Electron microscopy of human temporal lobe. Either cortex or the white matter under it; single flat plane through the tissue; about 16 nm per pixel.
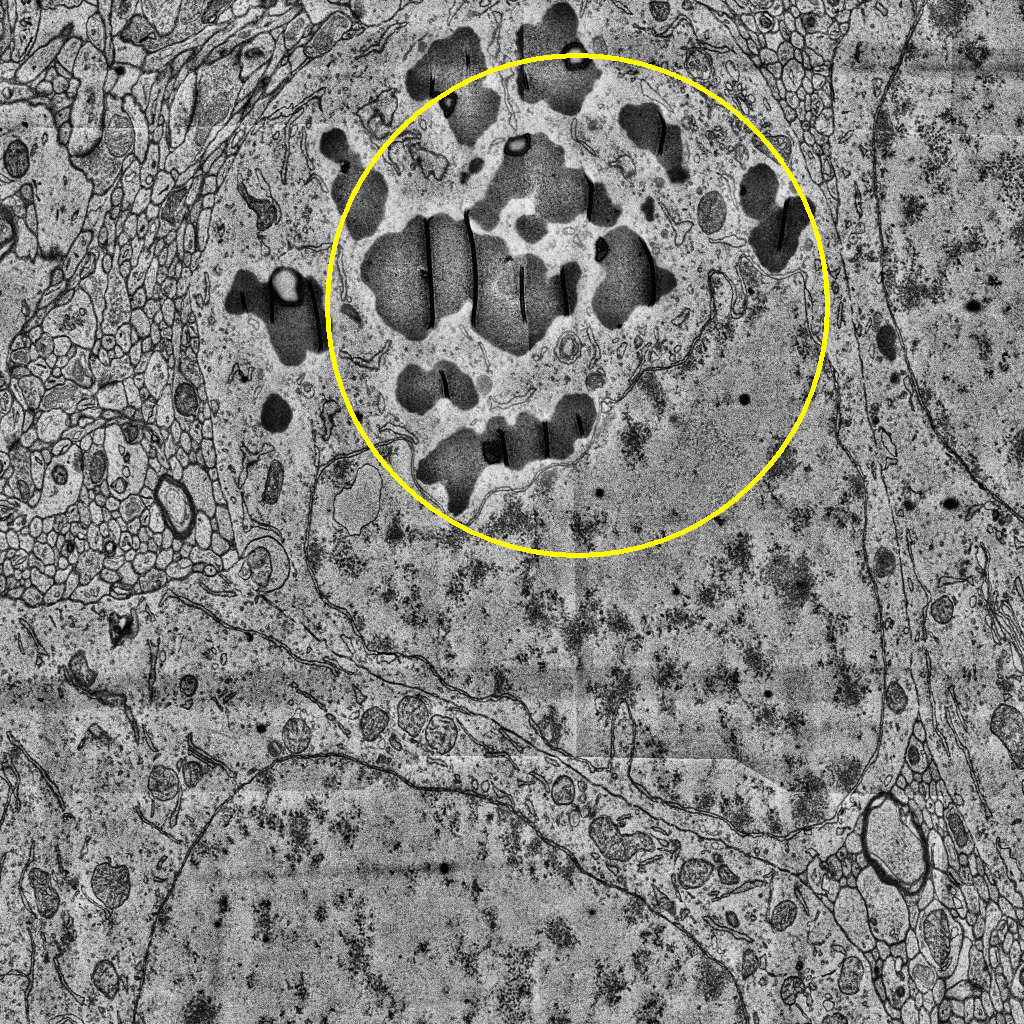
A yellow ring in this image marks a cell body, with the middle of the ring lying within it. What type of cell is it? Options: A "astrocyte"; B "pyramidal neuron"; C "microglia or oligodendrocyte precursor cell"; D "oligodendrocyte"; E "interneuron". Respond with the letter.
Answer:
E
